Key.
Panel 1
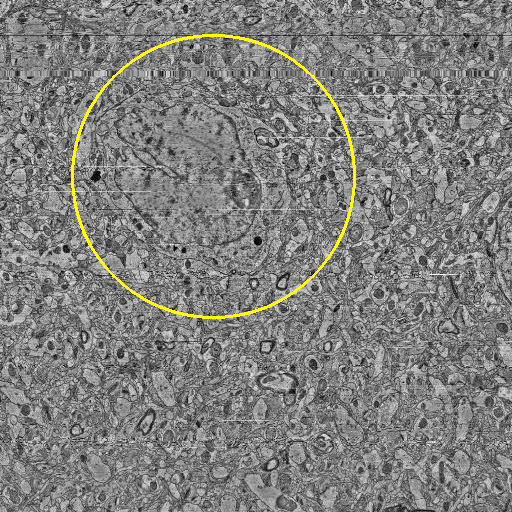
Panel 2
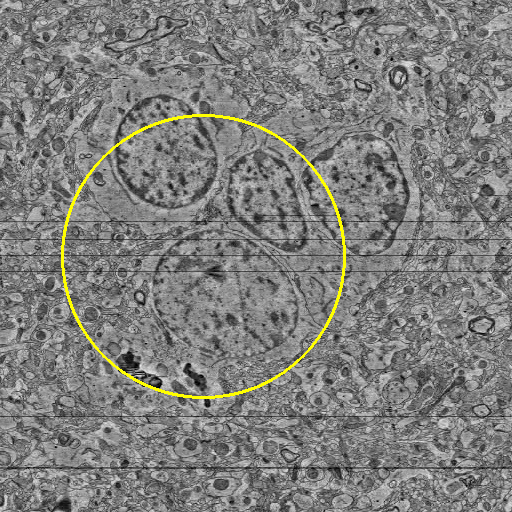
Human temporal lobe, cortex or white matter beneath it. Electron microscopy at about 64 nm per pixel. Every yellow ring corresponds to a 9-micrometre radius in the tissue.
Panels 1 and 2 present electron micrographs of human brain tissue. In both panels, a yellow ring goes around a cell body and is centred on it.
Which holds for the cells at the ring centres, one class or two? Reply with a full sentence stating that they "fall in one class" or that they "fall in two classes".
Taken together, the ring-centre cells of the two panels fall in two classes.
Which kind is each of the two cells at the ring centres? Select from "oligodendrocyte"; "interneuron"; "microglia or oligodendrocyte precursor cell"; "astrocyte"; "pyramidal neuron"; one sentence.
The cell at the centre of the ring is an interneuron in the first picture and an astrocyte in the second.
